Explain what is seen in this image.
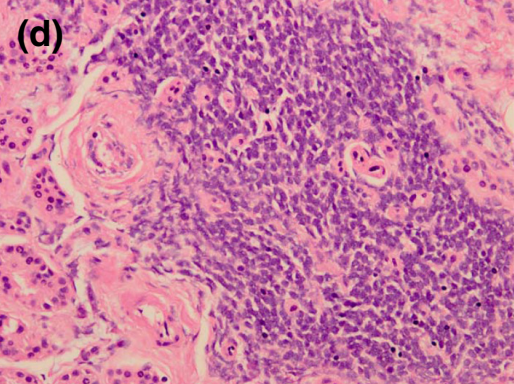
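A dense sheet of small round cells fills most of the field: they have dark, round, closely packed nuclei and very little cytoplasm, the look of lymphocytes gathered into an aggregate. At the left edge lie glandular epithelial cells with more abundant pink cytoplasm and round, paler nuclei, arranged in small acini, so the aggregate sits at the edge of a gland lobule.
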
